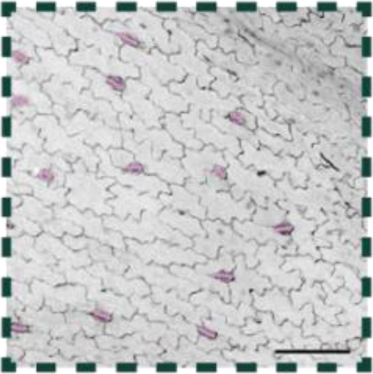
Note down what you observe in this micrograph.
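Leaf epidermis composed of pavement cells with strongly wavy, interlocking jigsaw-like walls. Small stomata are scattered singly among them, each coloured magenta, and they lie at a similar slanted orientation to one another.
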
